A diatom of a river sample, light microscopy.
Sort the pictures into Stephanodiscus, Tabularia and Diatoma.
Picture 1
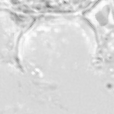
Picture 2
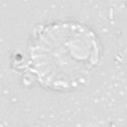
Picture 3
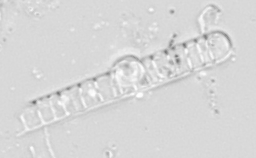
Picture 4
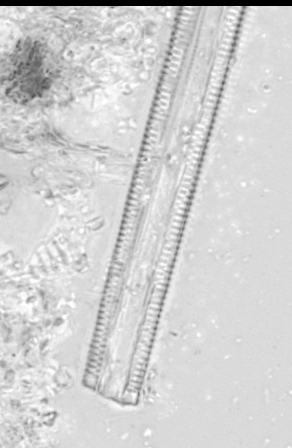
Stephanodiscus: 1, 2
Diatoma: 3
Tabularia: 4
